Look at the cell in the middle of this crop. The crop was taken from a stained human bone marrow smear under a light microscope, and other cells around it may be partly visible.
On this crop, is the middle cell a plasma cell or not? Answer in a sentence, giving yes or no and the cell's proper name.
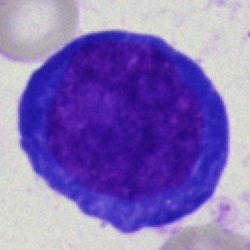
No, rather than being a plasma cell, the central cell is a proerythroblast.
